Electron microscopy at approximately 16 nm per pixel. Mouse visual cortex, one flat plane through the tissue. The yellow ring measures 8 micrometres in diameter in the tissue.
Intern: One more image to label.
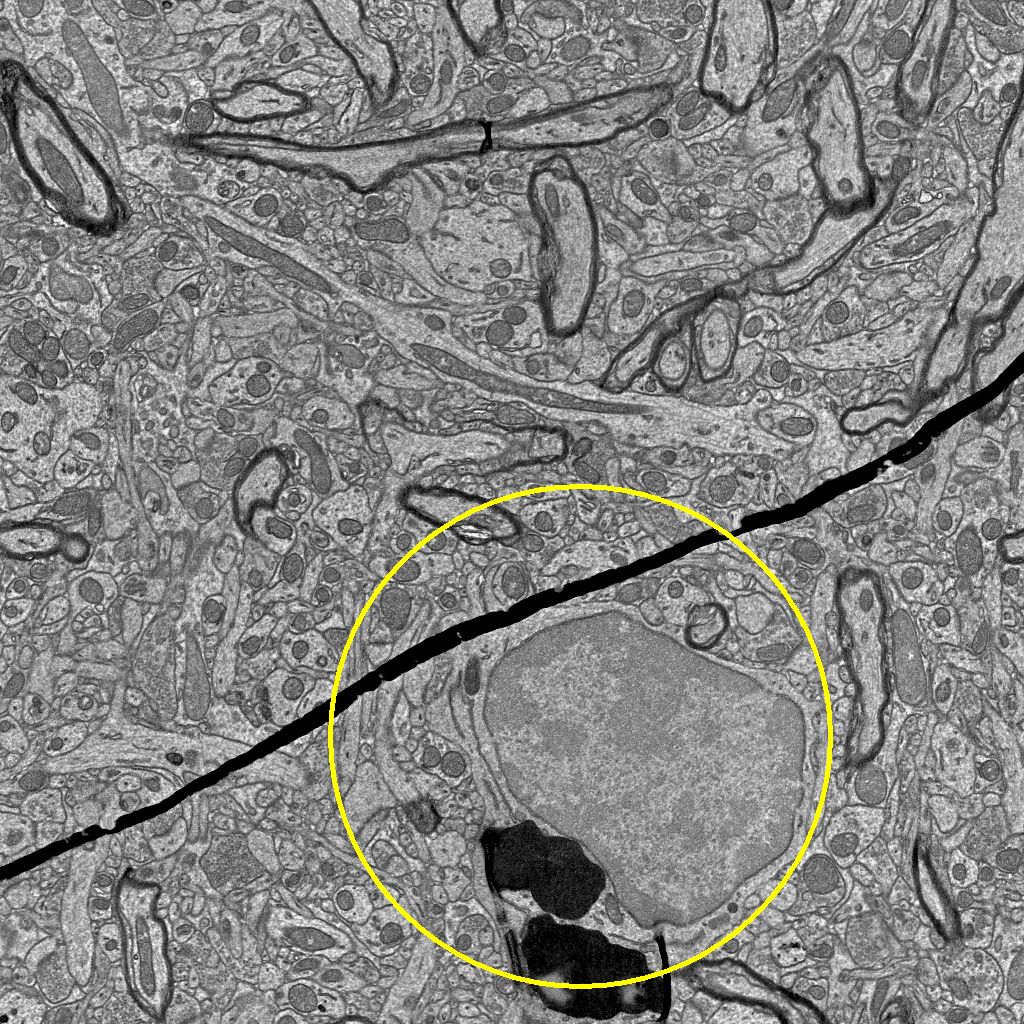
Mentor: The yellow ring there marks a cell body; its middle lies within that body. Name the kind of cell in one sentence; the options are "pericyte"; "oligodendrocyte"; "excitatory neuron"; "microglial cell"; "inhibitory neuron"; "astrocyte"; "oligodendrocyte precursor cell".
The ring marks the cell body of a microglial cell.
